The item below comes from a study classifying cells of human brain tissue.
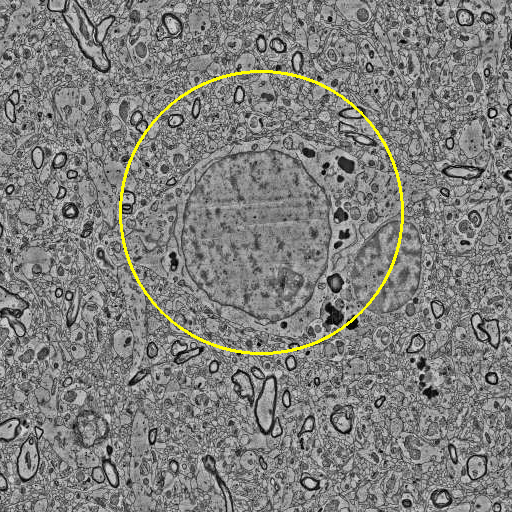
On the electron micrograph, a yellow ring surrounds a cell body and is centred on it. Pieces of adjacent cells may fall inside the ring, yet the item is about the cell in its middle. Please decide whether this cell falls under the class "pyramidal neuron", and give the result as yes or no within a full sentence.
No, the cell at the middle of the ring on the micrograph is of another kind.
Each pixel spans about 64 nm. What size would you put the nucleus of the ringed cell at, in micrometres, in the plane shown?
Approximately 11 micrometres across in this plane.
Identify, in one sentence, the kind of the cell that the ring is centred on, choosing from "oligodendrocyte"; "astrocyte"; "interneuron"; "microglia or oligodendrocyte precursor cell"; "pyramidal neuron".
Instead, the ring surrounds an interneuron in this picture.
